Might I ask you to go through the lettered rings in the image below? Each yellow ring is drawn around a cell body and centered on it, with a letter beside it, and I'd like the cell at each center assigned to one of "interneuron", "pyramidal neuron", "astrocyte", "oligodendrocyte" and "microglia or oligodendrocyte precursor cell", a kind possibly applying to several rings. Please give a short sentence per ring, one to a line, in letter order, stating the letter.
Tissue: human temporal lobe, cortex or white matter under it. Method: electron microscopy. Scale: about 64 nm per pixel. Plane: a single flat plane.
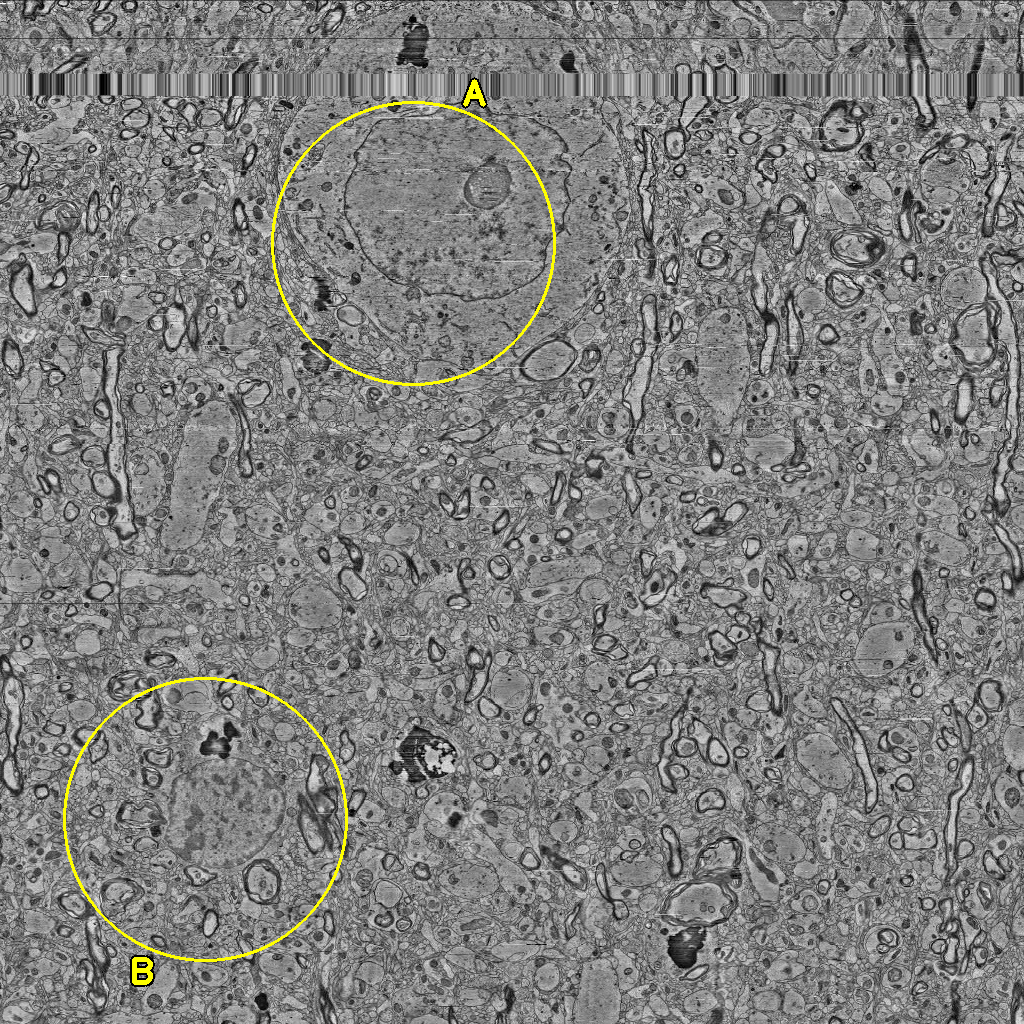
Ring A is centered on the body of a pyramidal neuron.
Ring B is centered on the body of an oligodendrocyte.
